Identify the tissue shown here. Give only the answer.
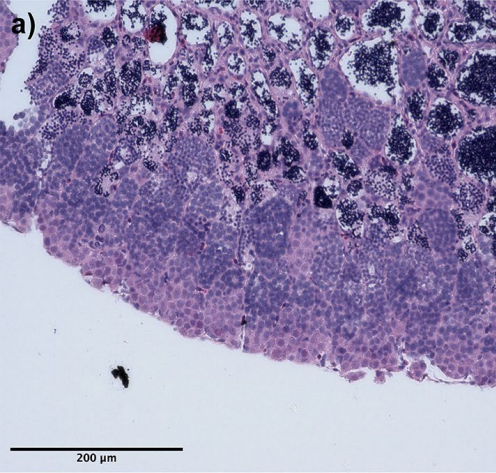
Testis.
